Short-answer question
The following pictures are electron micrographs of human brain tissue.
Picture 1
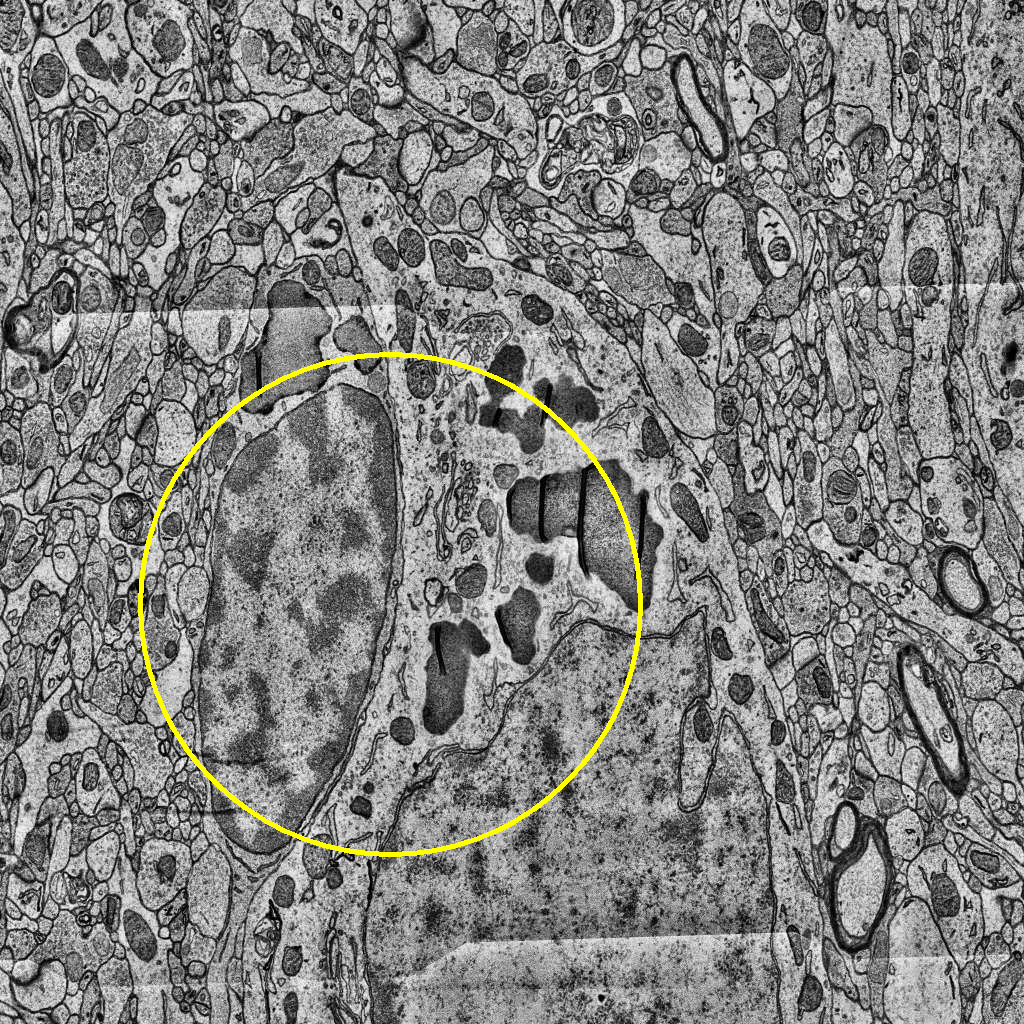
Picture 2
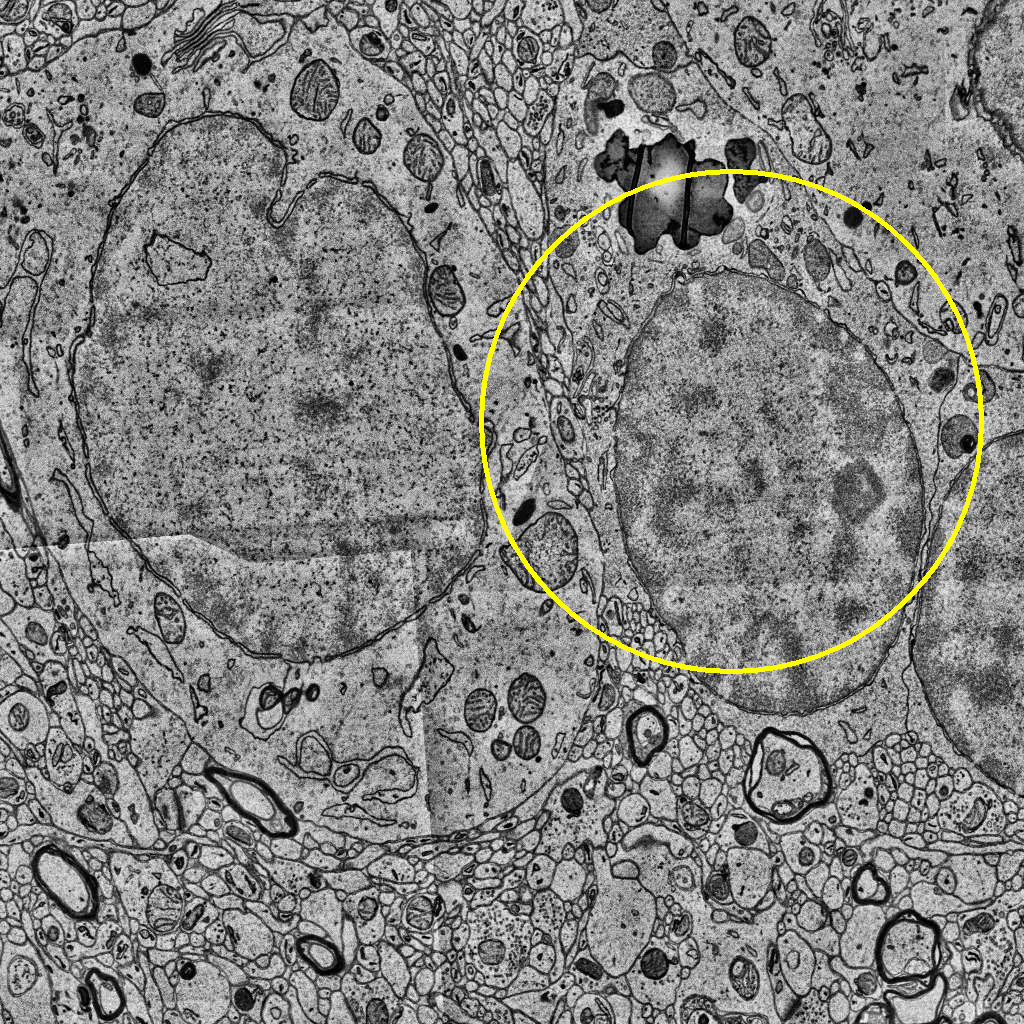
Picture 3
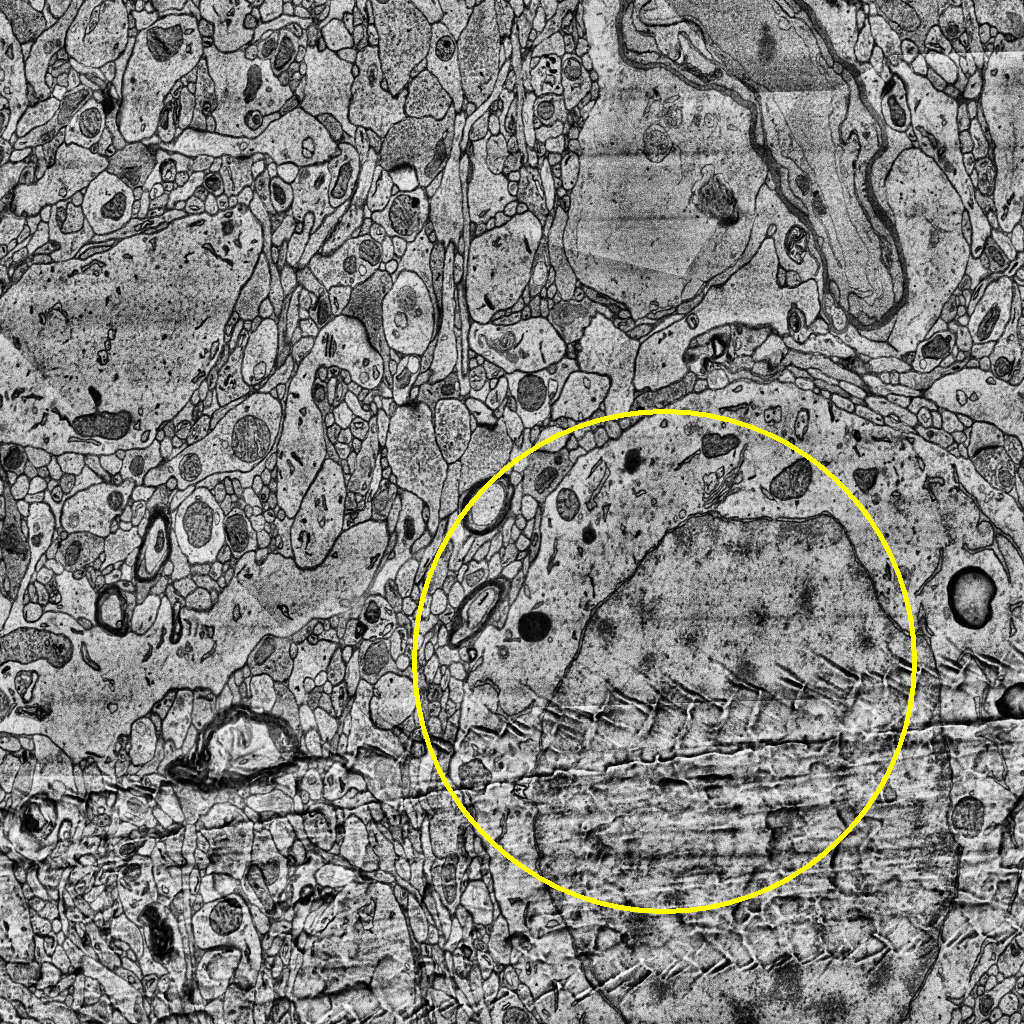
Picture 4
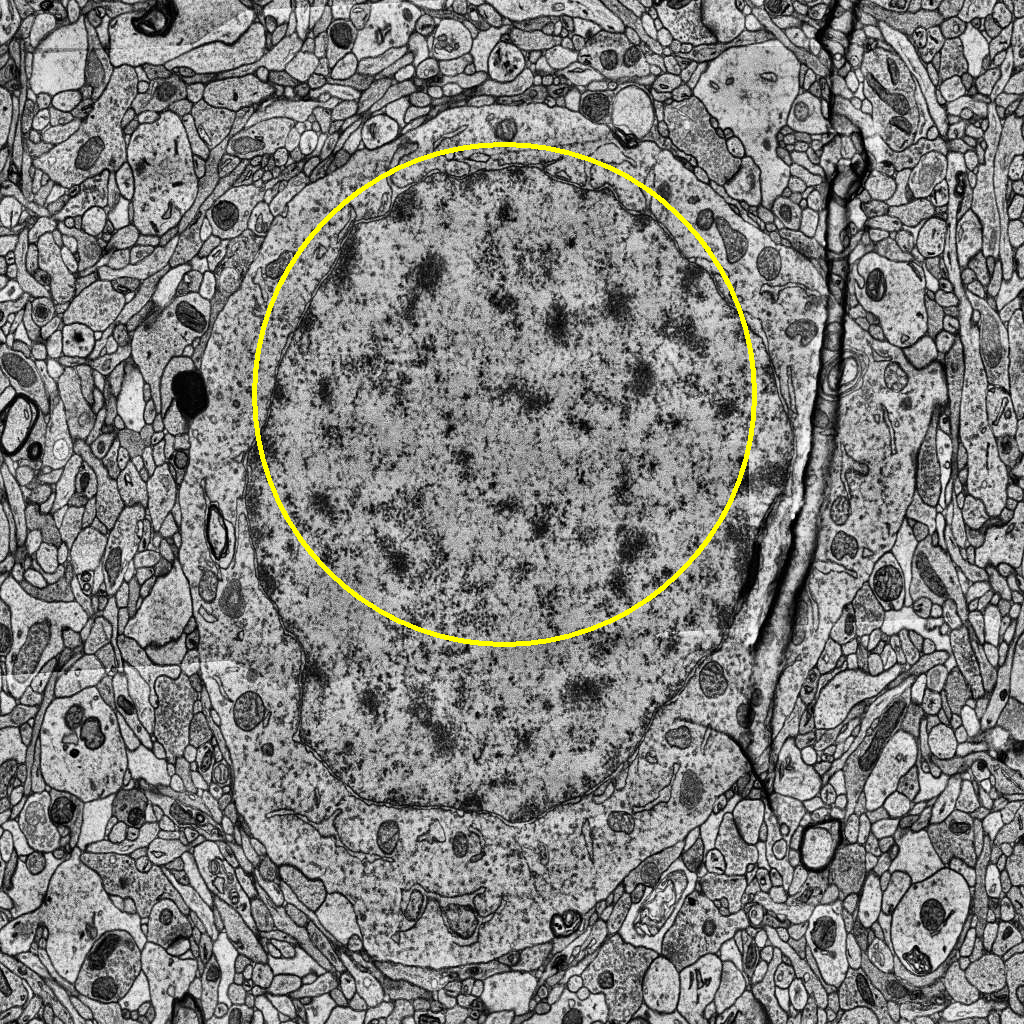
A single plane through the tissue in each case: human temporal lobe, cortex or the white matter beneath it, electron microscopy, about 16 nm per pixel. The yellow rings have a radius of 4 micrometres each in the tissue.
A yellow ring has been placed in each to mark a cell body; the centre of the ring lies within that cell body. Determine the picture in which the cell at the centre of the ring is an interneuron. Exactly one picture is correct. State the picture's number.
4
